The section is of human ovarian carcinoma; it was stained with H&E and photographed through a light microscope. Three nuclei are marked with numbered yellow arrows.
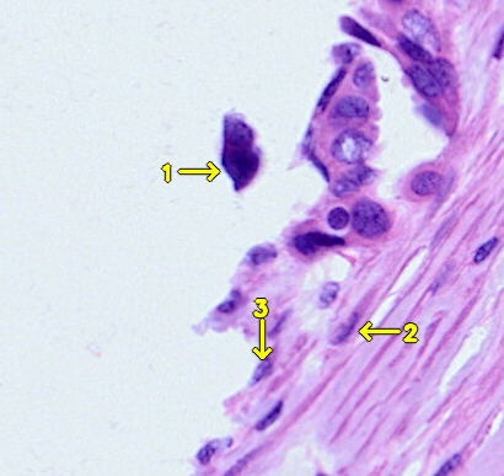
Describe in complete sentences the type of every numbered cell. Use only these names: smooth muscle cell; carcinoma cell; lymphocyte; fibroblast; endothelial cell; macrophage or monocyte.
Cell 1 is a carcinoma cell, cell 2 is a fibroblast and cell 3 is a fibroblast.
